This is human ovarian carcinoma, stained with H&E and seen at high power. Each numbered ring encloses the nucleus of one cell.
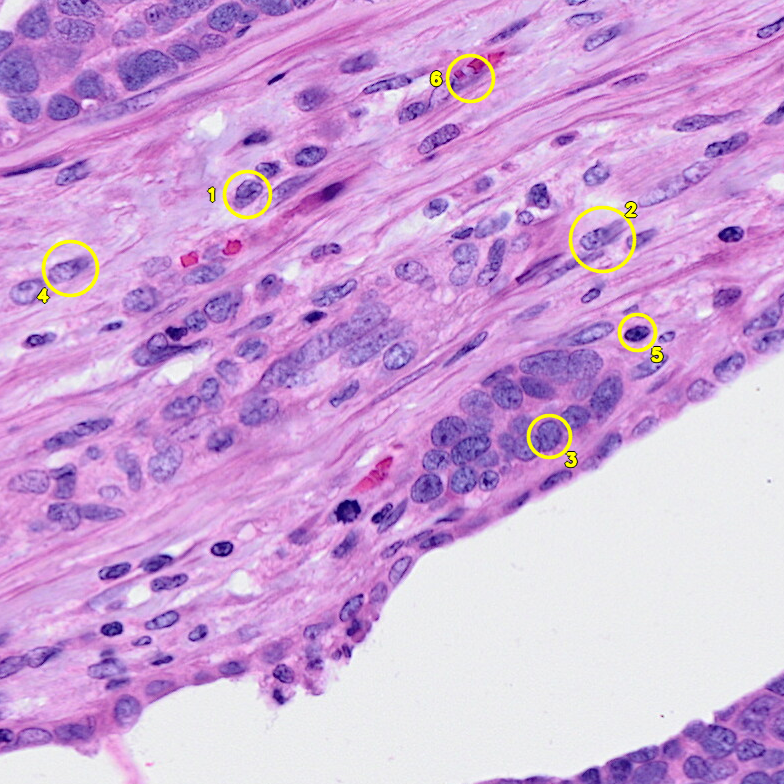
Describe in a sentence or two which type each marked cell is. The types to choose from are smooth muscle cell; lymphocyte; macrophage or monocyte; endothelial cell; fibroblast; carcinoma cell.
Cells 1 and 2 are macrophages or monocytes. Cell 3 is a carcinoma cell. Cell 4 is a fibroblast. Cell 5 is a lymphocyte. Cell 6 is an endothelial cell.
